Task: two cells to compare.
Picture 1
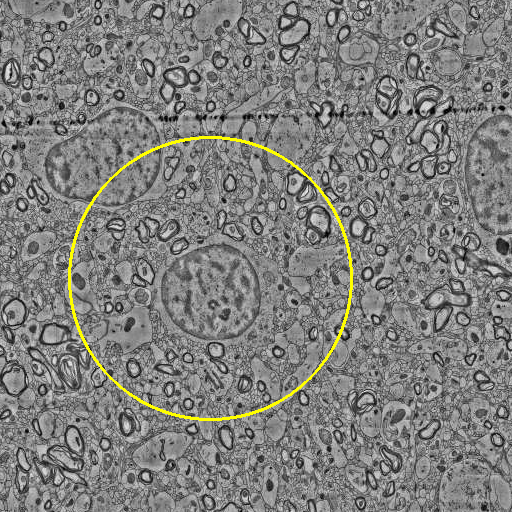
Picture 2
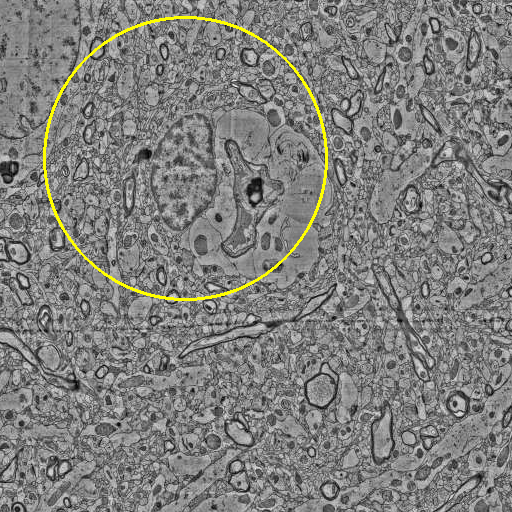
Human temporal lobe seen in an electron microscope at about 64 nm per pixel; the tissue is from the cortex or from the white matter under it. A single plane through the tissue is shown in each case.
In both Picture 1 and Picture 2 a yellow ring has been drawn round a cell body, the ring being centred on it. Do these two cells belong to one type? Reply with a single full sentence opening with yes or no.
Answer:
Yes, the two cells at the ring centres in Picture 1 and Picture 2 share one type.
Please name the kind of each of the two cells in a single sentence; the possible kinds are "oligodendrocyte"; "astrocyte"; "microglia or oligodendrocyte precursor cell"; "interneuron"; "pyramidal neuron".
Each of the ringed cells, first and second, is an oligodendrocyte.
